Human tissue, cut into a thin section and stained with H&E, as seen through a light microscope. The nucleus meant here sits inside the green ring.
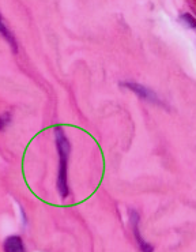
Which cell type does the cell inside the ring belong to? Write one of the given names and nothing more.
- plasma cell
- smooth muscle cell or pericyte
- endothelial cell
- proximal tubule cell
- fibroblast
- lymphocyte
smooth muscle cell or pericyte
